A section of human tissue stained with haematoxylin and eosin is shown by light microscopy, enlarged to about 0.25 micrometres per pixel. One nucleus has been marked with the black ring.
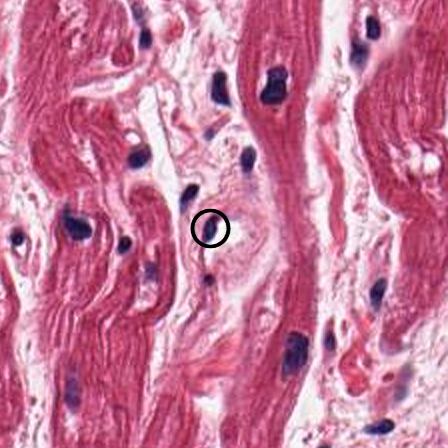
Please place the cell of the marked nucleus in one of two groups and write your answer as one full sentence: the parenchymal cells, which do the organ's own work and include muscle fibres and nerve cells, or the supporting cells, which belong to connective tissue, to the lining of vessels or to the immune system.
That the marked nucleus belongs to a supporting cell is what the section shows.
